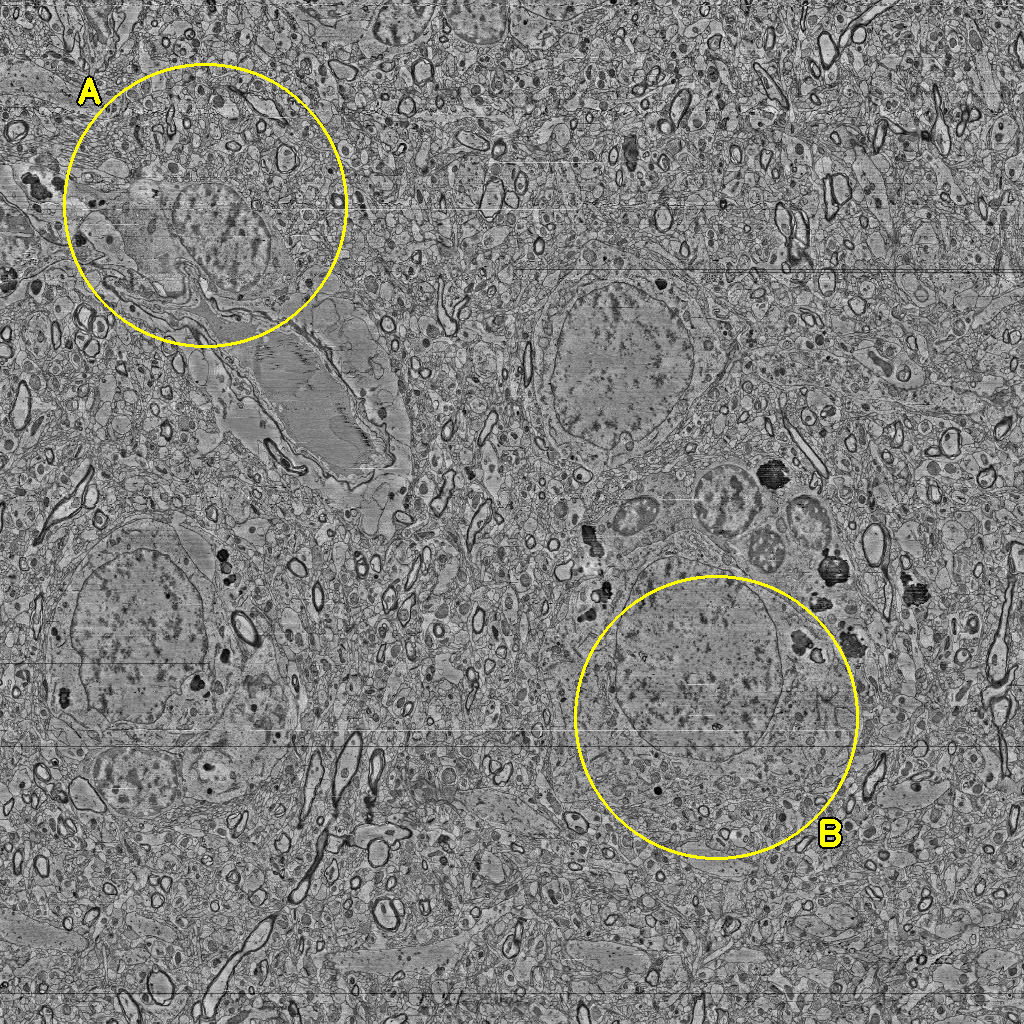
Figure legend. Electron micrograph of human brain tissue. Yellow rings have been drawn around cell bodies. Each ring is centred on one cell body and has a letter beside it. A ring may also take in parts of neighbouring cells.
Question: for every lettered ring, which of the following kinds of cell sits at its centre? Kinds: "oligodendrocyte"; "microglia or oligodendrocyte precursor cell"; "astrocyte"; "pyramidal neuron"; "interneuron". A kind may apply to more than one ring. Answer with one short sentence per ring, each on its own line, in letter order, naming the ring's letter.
Ring A is centred on an oligodendrocyte.
Ring B is centred on a pyramidal neuron.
